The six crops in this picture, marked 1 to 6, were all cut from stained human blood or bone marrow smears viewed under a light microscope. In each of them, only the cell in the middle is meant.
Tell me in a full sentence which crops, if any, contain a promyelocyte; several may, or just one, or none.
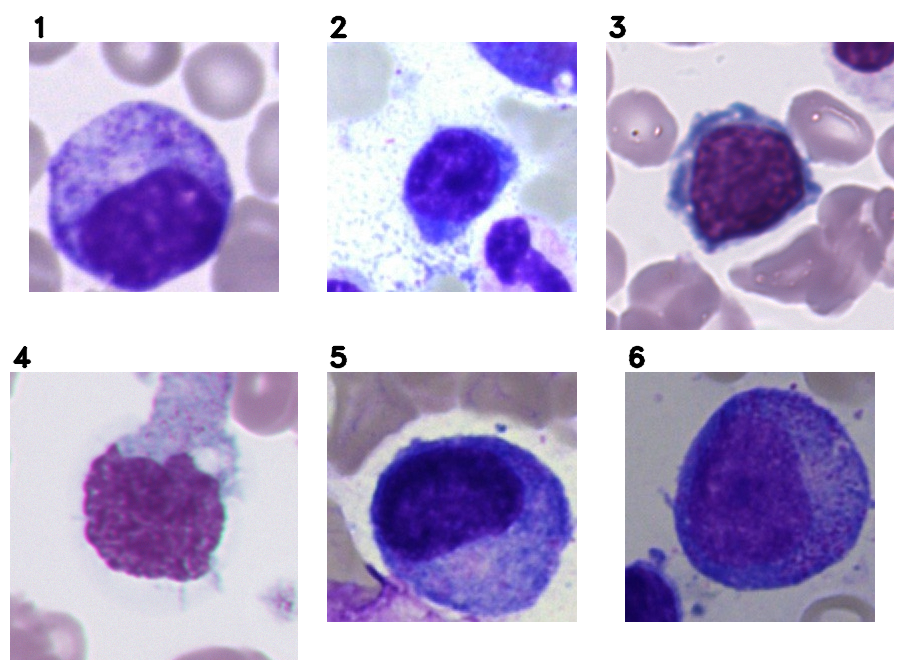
The crops identified as showing promyelocytes are 1, 5 and 6.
